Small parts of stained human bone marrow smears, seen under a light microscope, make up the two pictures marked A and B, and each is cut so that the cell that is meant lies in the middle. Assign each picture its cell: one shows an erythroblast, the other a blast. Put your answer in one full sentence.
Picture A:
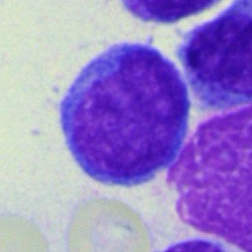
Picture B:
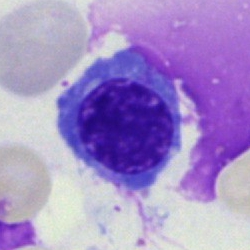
Picture A is of a blast, and picture B is of an erythroblast.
